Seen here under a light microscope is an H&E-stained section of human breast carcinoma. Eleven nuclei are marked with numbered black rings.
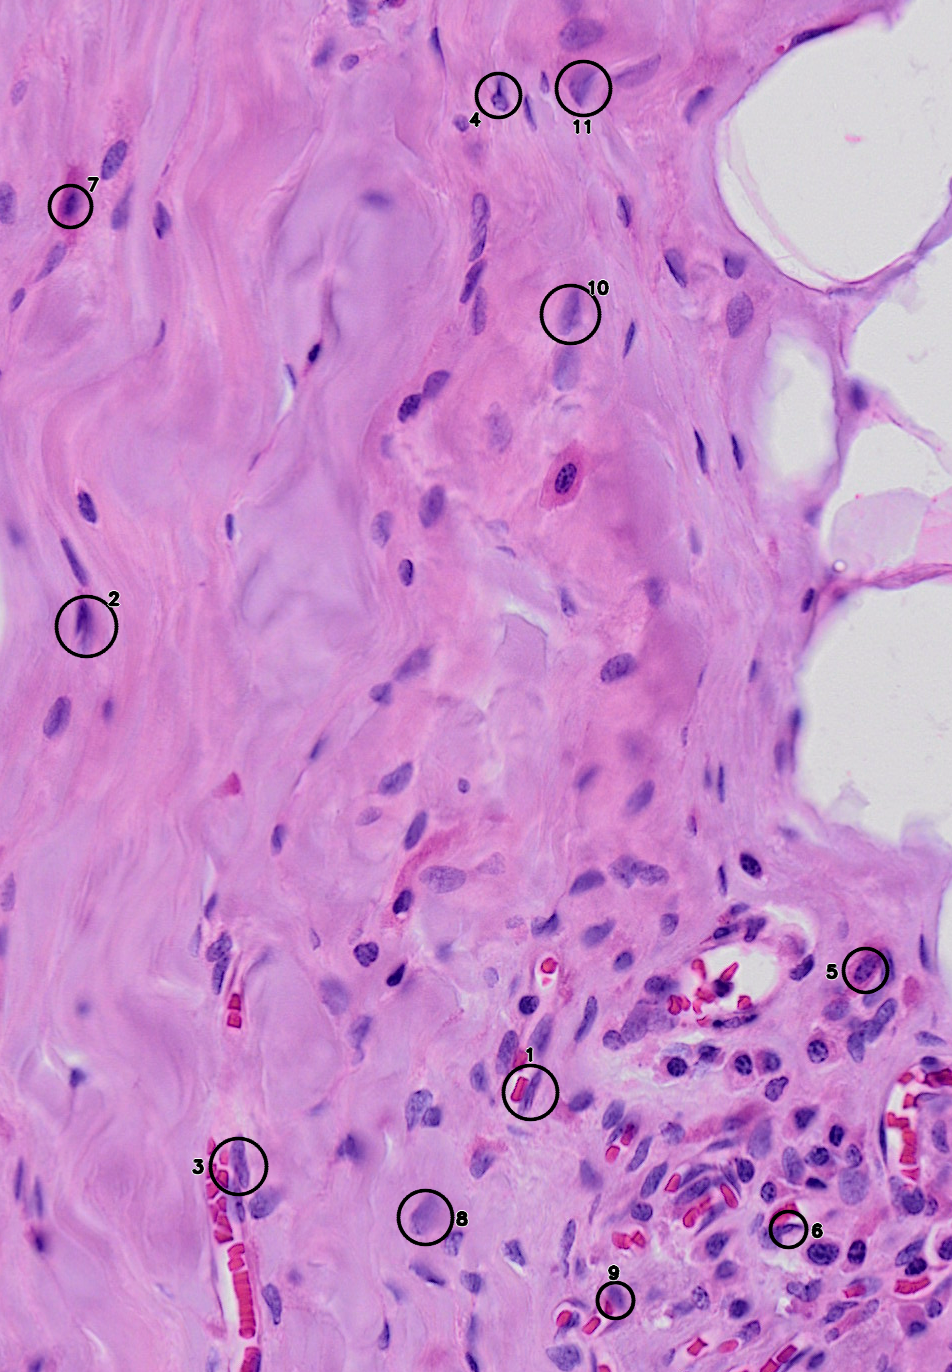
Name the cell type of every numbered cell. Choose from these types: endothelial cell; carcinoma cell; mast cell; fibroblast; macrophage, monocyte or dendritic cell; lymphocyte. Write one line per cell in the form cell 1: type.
cell 1: endothelial cell
cell 2: fibroblast
cell 3: endothelial cell
cell 4: fibroblast
cell 5: mast cell
cell 6: endothelial cell
cell 7: mast cell
cell 8: fibroblast
cell 9: endothelial cell
cell 10: fibroblast
cell 11: fibroblast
